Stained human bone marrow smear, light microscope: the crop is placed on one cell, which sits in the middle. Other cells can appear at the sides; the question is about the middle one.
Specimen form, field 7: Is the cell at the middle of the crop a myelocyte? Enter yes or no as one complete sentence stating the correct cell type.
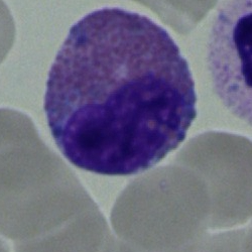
No, not a myelocyte: the cell in the middle of this crop is an eosinophil.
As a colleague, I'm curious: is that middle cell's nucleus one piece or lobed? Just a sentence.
One compact mass makes up the whole nucleus, round, oval or kidney-shaped.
